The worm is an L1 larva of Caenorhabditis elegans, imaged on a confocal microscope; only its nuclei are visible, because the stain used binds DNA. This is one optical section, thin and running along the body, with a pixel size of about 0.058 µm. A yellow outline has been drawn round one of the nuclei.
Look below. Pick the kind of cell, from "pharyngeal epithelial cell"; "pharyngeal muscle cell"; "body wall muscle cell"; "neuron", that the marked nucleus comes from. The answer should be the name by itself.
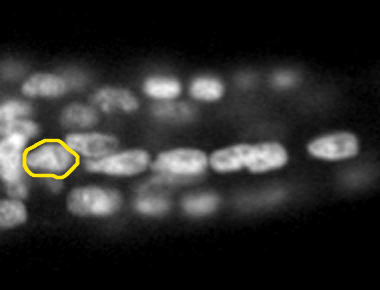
neuron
